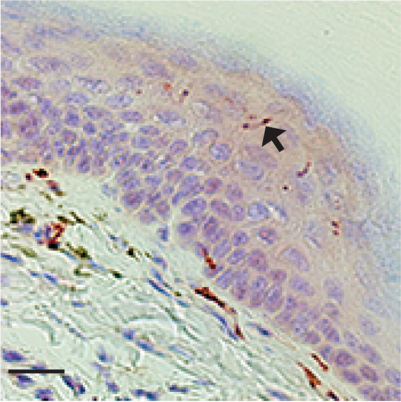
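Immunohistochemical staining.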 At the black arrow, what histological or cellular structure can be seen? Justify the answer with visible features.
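The arrow points to a small dark brown-red stained profile. The stained profile lies among the nucleated cells of the epidermis, above the dermis. On this evidence: Intra−epidermal nerve fibers.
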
